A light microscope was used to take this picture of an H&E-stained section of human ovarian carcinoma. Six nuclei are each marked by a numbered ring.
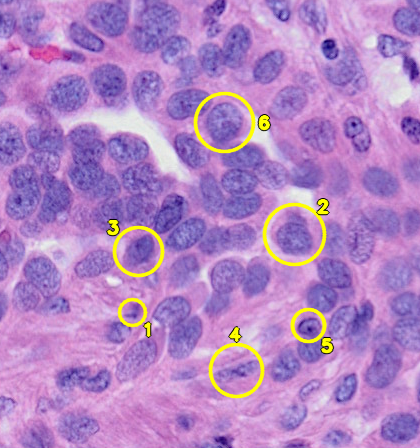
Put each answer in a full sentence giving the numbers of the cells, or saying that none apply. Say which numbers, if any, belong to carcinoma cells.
The cells which carry the numbers 2, 3 and 6 are carcinoma cells.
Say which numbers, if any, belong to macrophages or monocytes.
Cell 5 is a macrophage or monocyte and is the only numbered cell of that kind.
